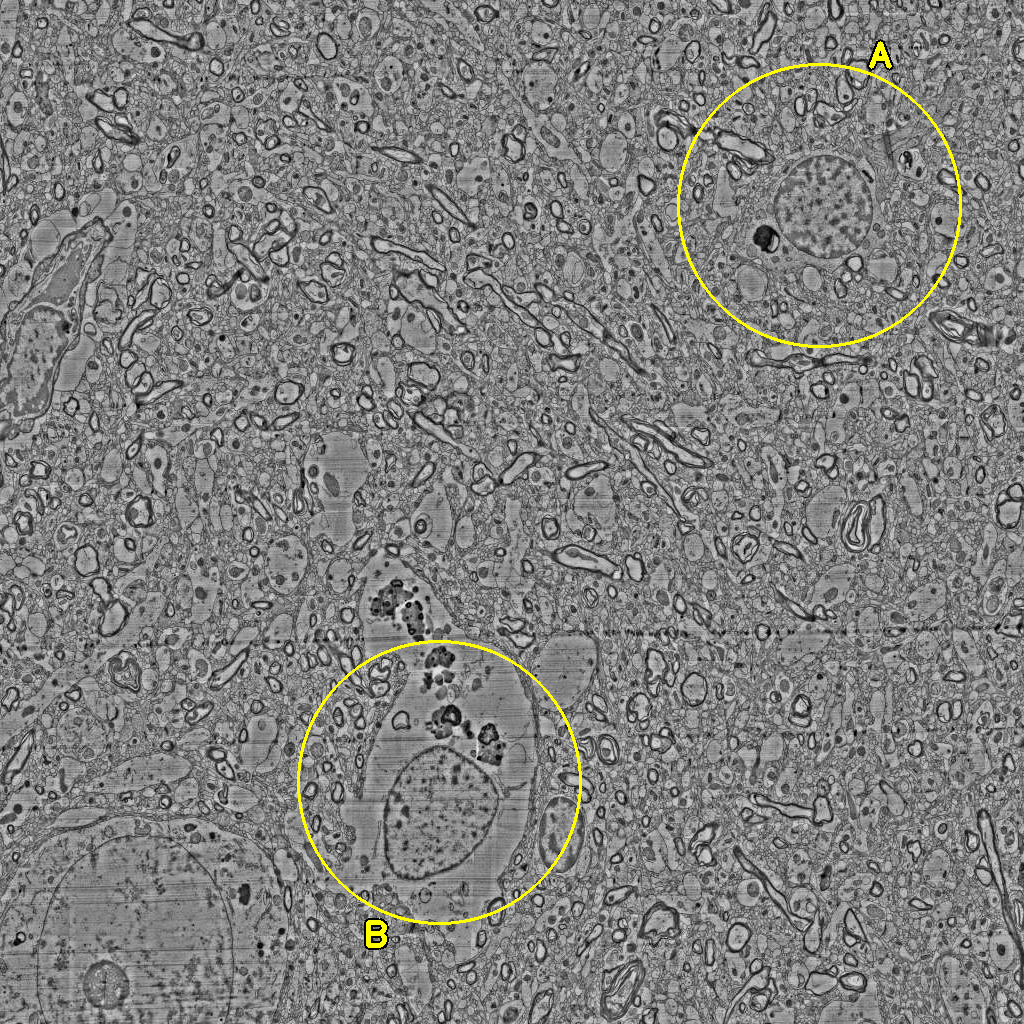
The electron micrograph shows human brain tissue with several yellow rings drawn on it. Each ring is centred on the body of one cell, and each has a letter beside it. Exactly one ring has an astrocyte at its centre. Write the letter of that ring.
B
